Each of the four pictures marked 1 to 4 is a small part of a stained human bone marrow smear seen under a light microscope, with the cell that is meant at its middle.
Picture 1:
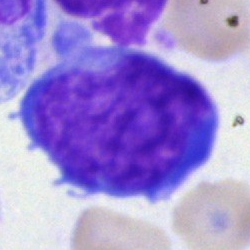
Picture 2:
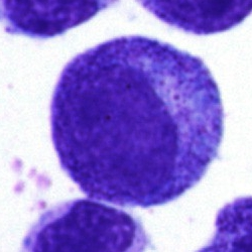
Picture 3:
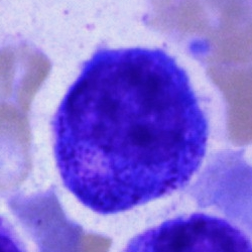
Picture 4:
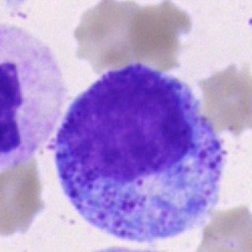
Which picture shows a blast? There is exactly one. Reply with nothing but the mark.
1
